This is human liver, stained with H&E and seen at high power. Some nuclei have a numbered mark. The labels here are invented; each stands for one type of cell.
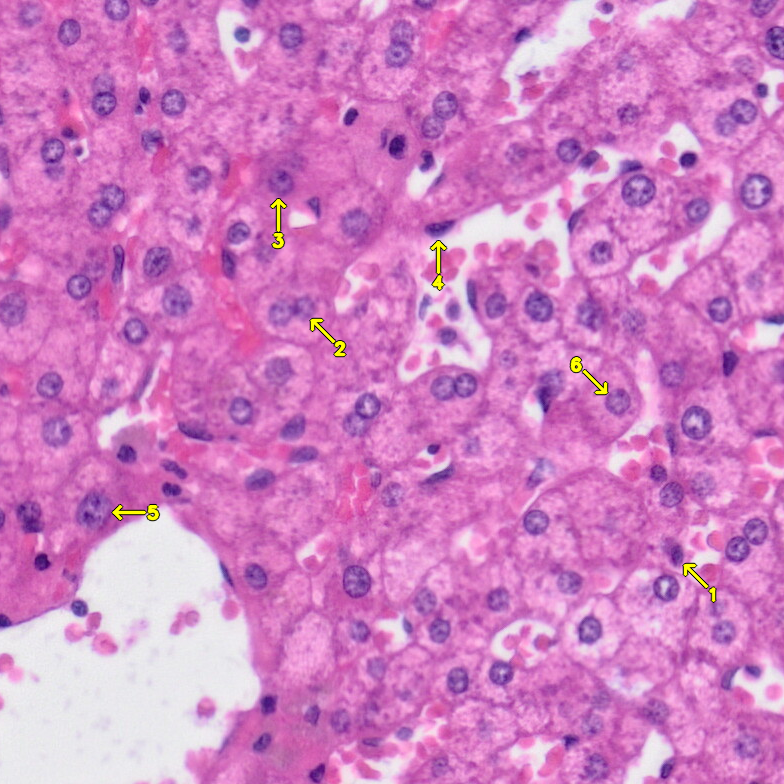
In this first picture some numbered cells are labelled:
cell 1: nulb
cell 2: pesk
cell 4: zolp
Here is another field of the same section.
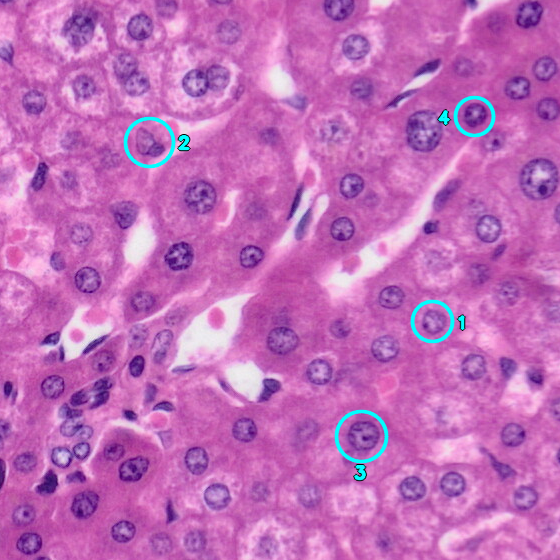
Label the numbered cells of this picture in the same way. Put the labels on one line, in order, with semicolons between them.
pesk; nulb; pesk; pesk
